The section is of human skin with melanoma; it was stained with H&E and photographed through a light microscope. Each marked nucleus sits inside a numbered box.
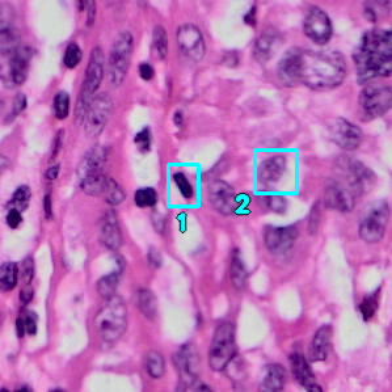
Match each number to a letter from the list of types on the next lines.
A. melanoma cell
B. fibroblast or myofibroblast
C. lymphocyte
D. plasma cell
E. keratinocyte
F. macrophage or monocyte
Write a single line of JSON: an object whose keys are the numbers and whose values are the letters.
{"1": "C", "2": "A"}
